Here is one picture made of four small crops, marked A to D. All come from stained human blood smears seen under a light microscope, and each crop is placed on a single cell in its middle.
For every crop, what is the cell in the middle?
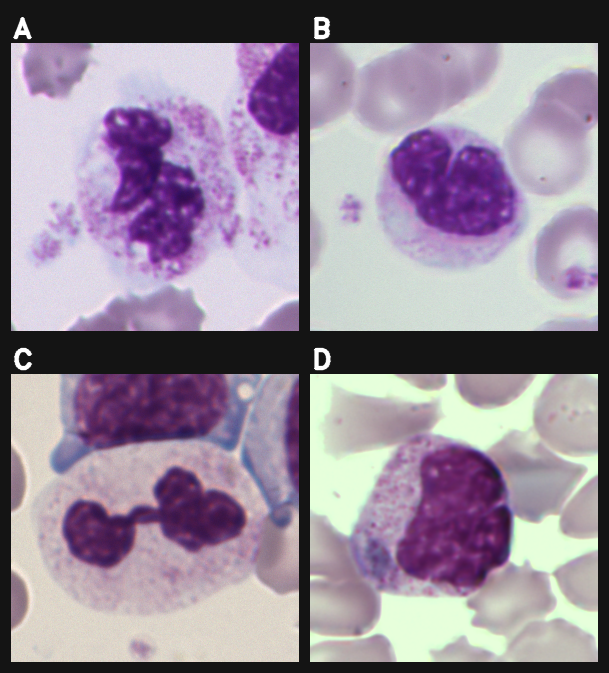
A: segmented neutrophil
B: band neutrophil
C: segmented neutrophil
D: band neutrophil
